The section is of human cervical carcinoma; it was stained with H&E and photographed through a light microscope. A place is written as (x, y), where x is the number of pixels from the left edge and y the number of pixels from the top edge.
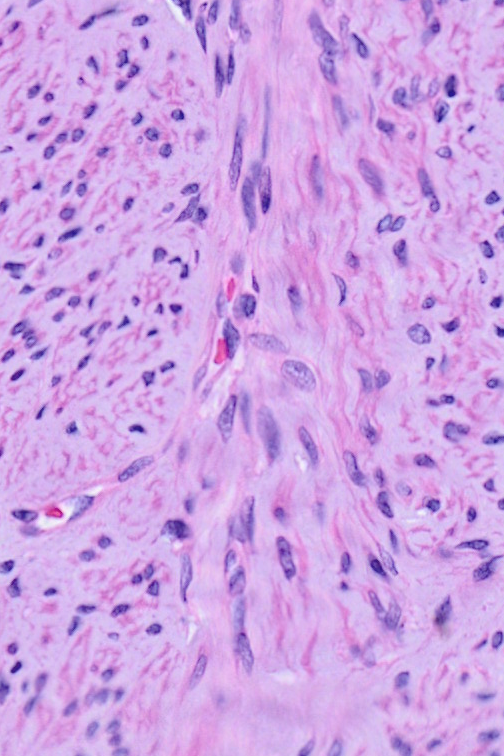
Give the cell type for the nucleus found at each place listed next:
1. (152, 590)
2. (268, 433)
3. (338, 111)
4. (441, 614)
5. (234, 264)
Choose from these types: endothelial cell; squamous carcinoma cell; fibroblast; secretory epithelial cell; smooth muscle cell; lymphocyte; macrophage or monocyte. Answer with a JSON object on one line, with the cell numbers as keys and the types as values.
{"1": "smooth muscle cell", "2": "fibroblast", "3": "smooth muscle cell", "4": "fibroblast", "5": "endothelial cell"}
